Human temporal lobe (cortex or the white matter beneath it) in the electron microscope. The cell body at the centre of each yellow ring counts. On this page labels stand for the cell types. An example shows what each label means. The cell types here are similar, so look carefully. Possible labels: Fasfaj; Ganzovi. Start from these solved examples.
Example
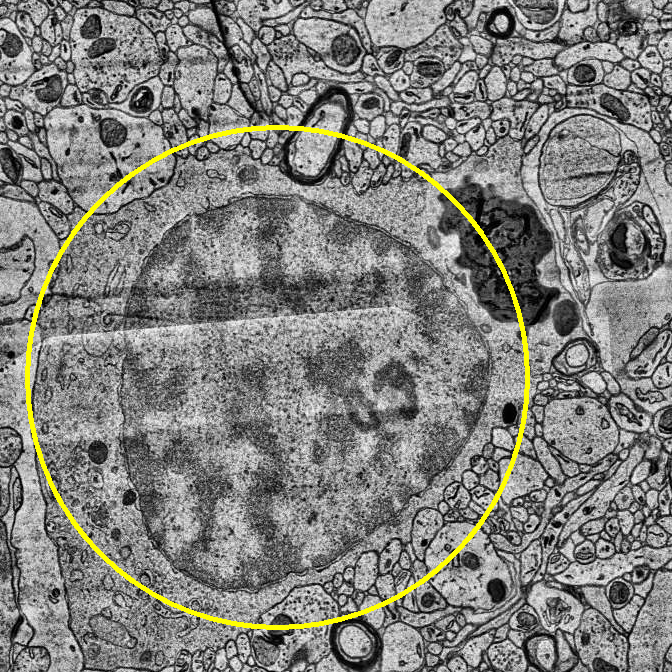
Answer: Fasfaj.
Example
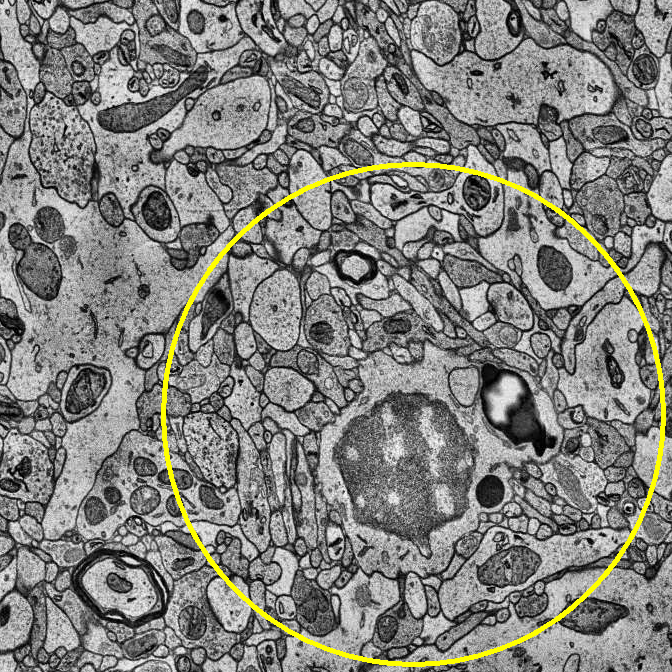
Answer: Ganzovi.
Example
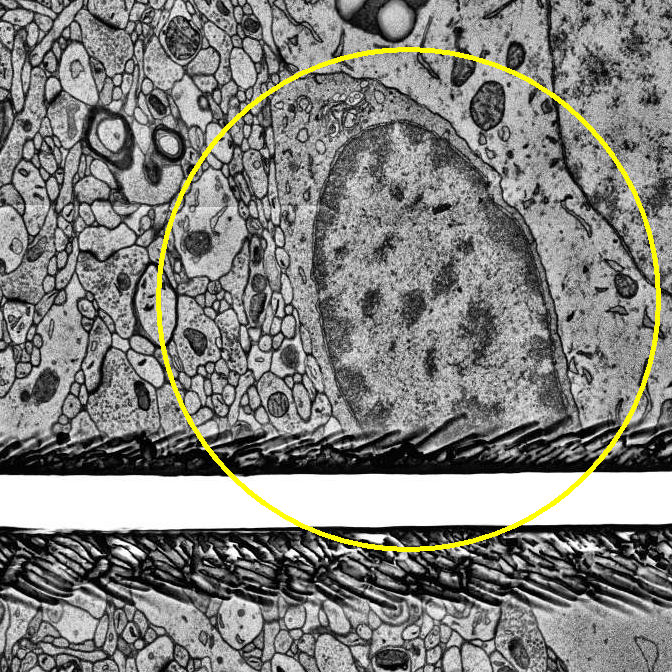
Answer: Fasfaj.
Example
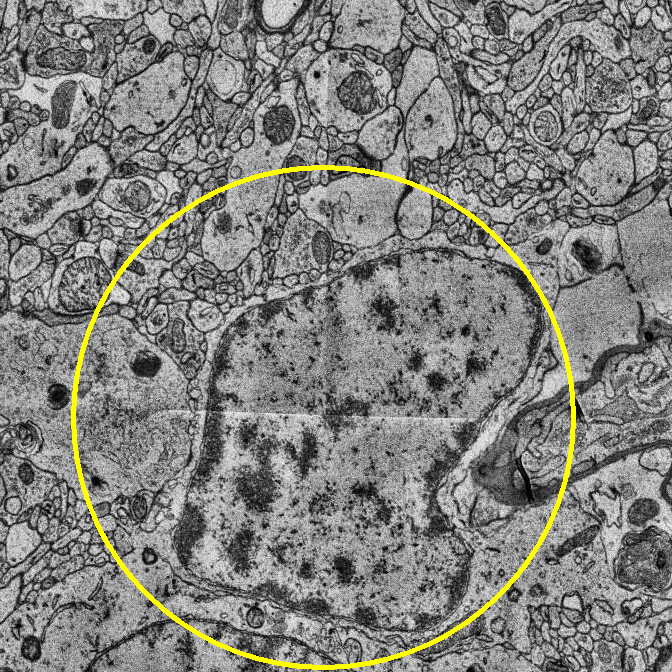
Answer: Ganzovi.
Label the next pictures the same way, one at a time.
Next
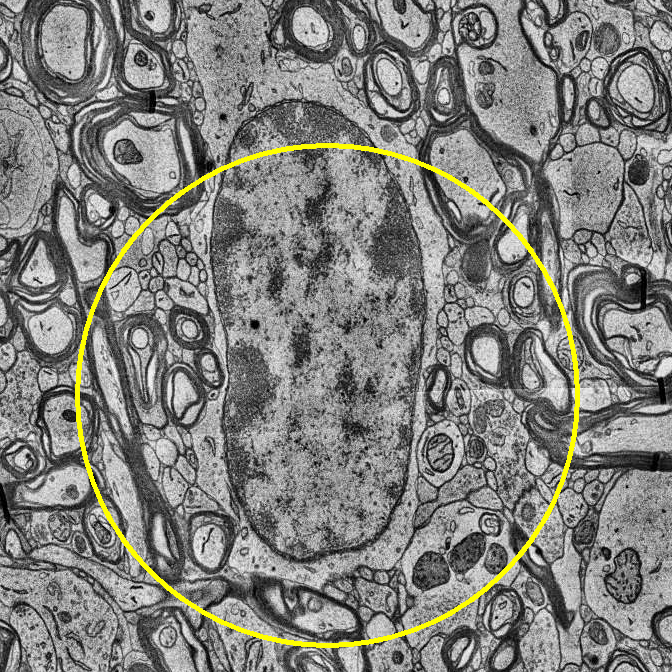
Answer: Ganzovi.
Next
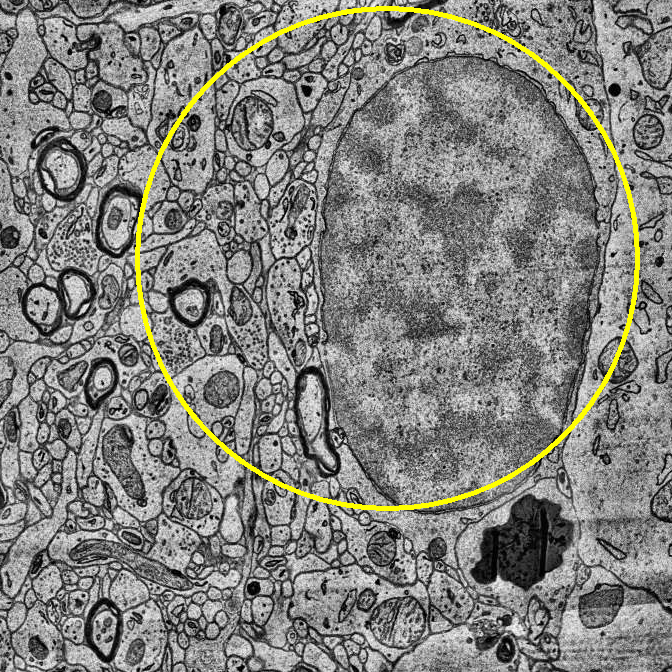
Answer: Fasfaj.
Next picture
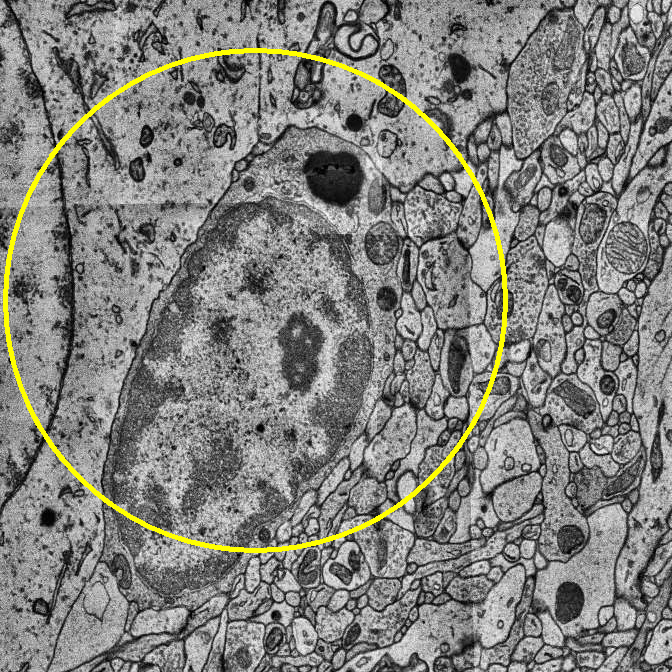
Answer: Fasfaj.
